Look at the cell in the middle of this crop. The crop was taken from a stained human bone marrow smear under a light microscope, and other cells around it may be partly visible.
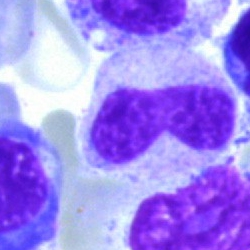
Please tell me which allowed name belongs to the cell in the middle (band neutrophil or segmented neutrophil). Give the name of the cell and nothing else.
band neutrophil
